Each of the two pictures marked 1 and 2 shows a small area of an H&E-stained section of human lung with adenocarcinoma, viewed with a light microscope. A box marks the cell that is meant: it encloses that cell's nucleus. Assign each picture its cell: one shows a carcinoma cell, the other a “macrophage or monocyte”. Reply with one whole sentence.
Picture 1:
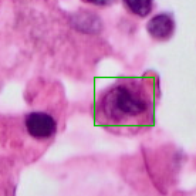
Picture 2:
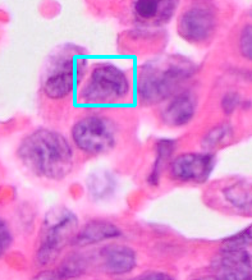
Picture 2 shows a carcinoma cell, while picture 1 shows a “macrophage or monocyte”.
